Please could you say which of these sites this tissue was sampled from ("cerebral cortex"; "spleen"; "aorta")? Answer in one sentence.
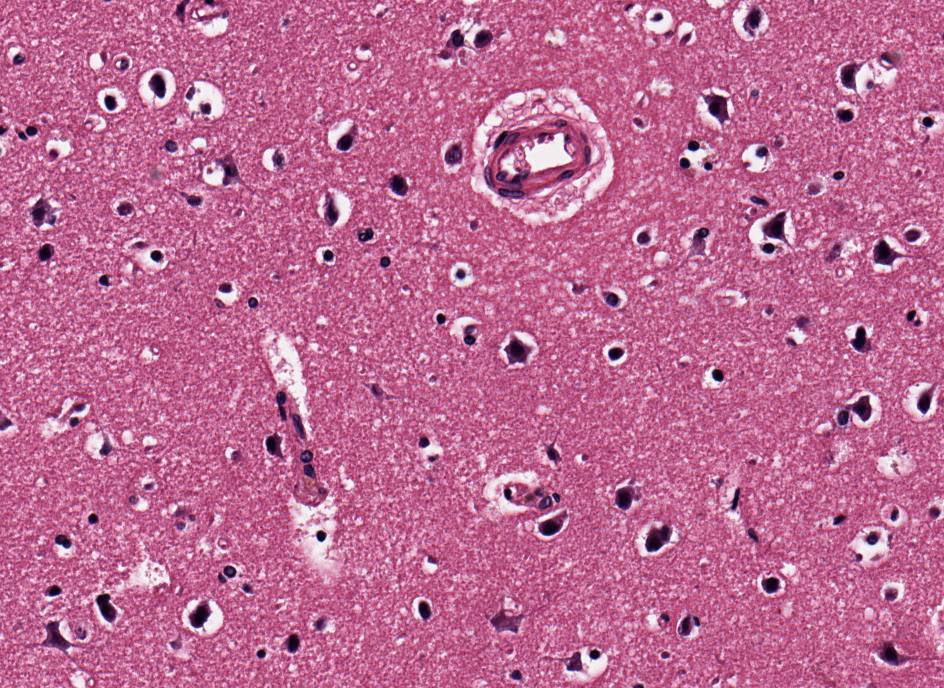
The site this tissue was sampled from is the cerebral cortex.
